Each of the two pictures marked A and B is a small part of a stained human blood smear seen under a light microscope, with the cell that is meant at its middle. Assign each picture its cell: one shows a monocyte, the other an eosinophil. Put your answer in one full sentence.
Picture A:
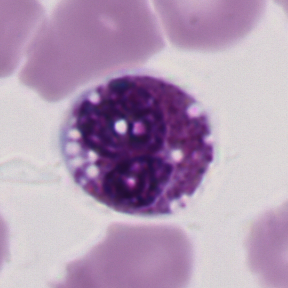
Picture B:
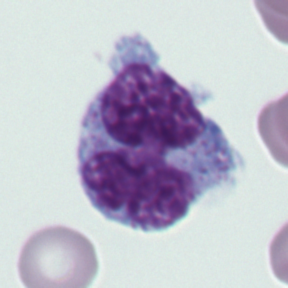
Picture B shows a monocyte, while picture A shows an eosinophil.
